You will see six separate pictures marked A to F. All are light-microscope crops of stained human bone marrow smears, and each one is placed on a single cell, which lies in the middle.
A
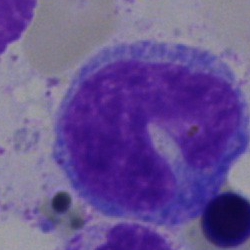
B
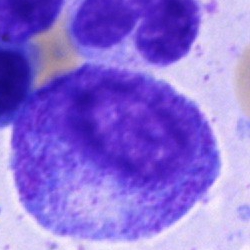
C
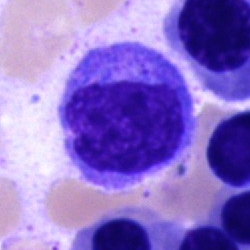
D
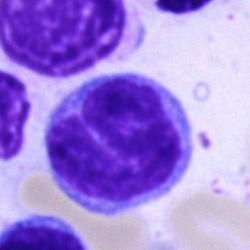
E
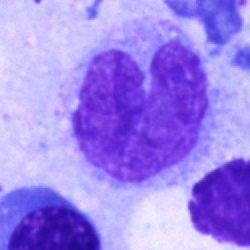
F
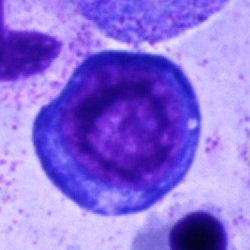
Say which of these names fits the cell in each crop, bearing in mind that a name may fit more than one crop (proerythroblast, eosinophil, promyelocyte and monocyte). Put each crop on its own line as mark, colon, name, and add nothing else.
A: monocyte
B: promyelocyte
C: monocyte
D: monocyte
E: monocyte
F: proerythroblast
